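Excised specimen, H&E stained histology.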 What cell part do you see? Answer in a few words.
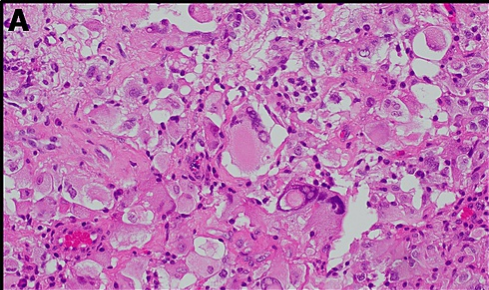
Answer: vacuous, foamy cytoplasm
